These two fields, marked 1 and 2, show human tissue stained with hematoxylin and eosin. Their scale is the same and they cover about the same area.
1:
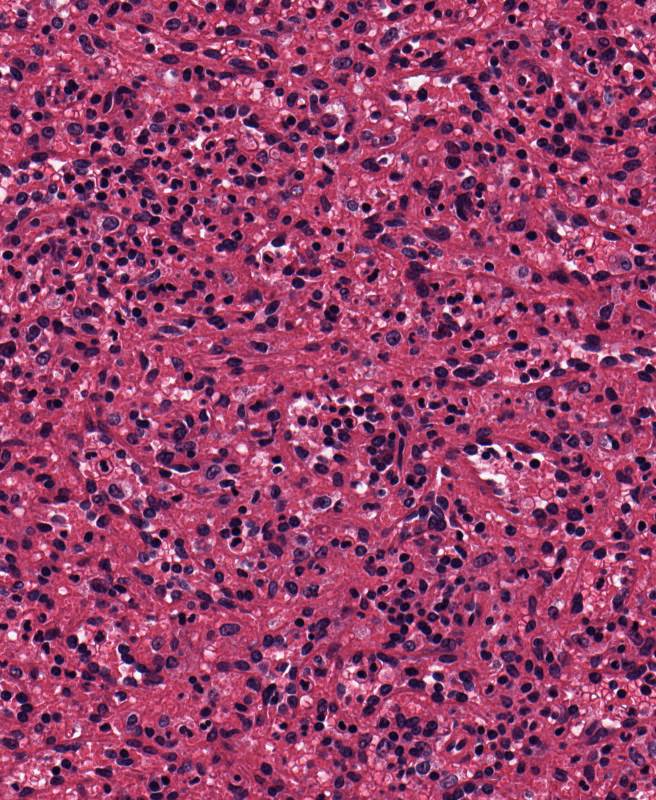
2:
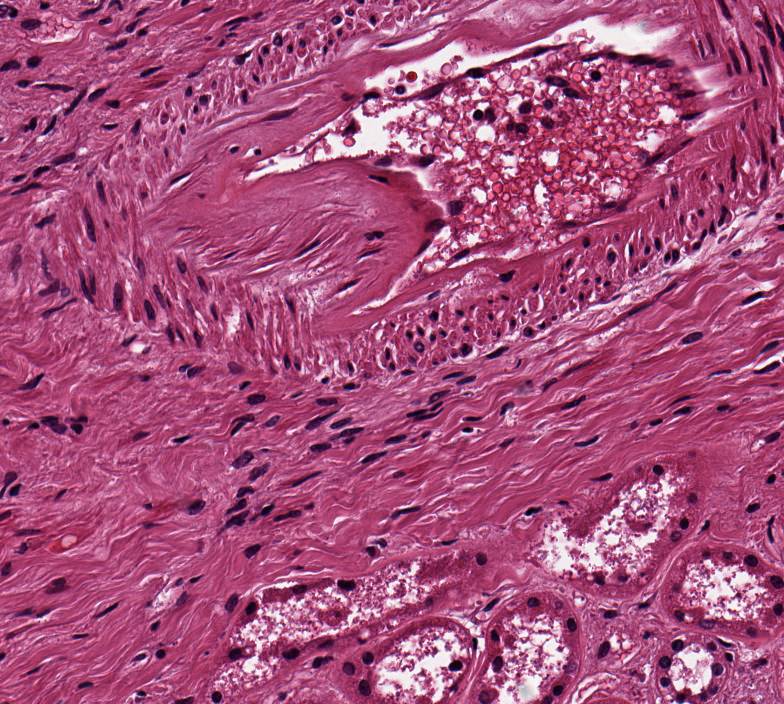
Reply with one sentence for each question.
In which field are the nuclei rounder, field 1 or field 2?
Rounder nuclei lie in field 1.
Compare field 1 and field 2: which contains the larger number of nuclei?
The larger number of nuclei is in field 1.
